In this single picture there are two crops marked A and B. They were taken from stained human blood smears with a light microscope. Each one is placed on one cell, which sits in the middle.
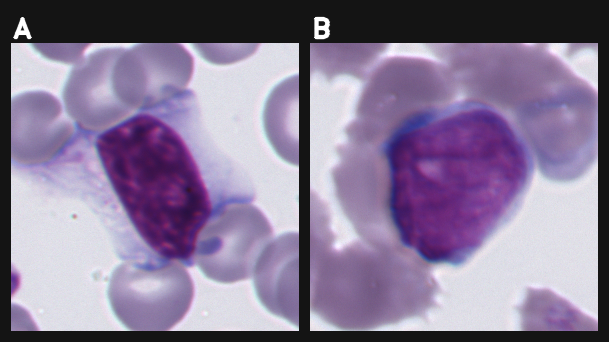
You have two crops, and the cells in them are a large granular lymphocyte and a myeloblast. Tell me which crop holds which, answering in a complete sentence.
The cell centred in crop A is a large granular lymphocyte, while the one centred in crop B is a myeloblast.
